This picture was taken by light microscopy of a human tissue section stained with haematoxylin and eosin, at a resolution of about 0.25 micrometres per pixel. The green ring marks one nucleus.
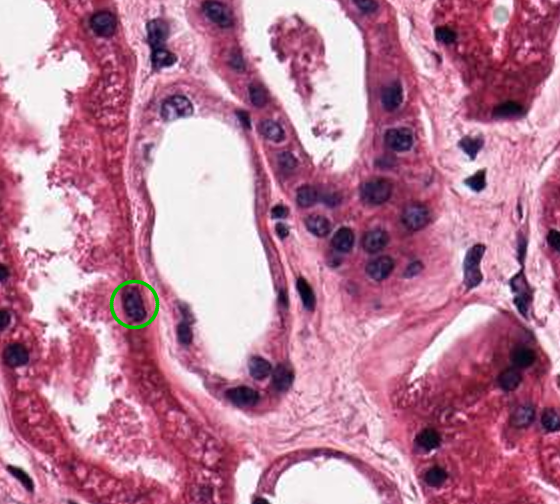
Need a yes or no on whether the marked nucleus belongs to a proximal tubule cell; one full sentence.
Yes, belonging to a proximal tubule cell is the marked nucleus.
